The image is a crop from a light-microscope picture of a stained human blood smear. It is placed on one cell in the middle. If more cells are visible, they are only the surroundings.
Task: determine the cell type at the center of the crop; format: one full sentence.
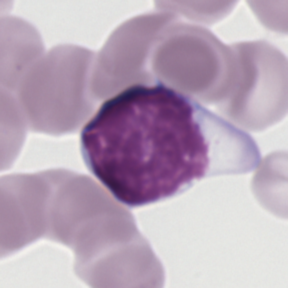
What sits at the centre of this crop is a large granular lymphocyte.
